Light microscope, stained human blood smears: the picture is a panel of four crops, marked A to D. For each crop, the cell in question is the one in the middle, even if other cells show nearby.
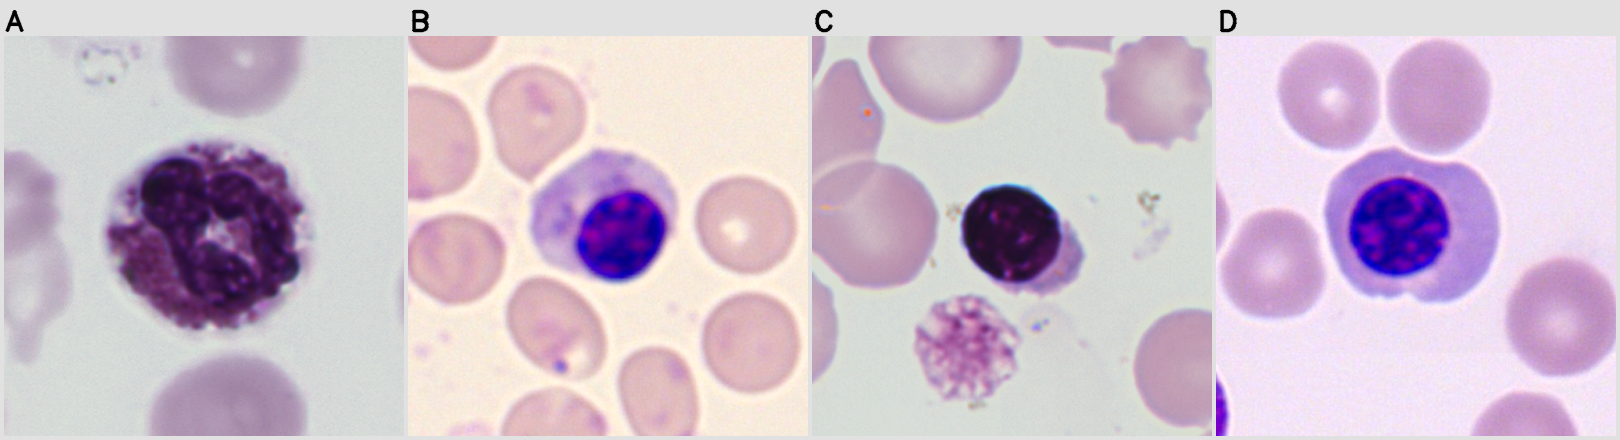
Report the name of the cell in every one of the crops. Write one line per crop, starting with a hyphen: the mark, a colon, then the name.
- A: eosinophil
- B: erythroblast
- C: erythroblast
- D: erythroblast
